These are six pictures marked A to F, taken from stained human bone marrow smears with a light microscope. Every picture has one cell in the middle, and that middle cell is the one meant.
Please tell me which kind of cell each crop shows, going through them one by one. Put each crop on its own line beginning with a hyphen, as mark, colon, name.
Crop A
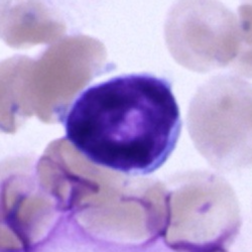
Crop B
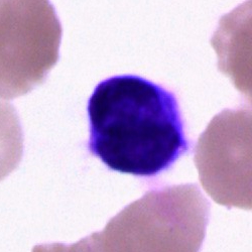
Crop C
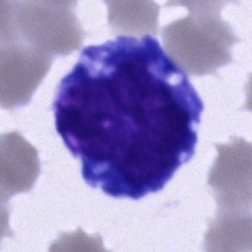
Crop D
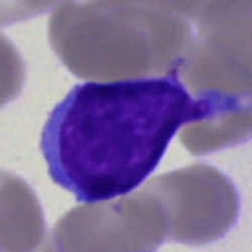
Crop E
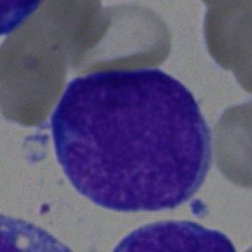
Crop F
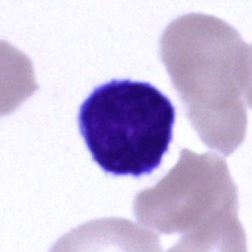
- A: lymphocyte
- B: lymphocyte
- C: blast
- D: lymphocyte
- E: blast
- F: lymphocyte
